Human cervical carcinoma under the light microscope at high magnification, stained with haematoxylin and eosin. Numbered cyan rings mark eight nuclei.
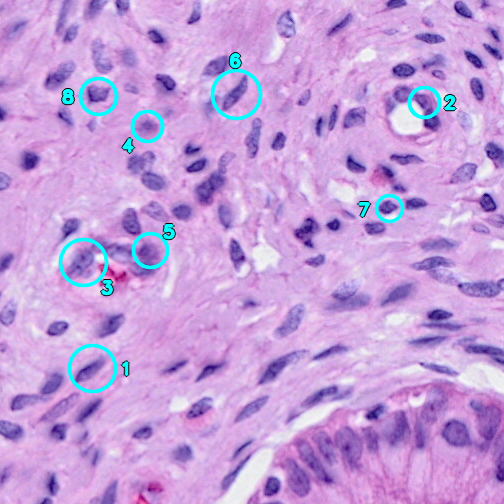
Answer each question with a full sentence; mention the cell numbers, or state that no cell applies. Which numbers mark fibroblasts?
The cells labelled 1, 4, 6, 7 and 8 in this section are fibroblasts.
